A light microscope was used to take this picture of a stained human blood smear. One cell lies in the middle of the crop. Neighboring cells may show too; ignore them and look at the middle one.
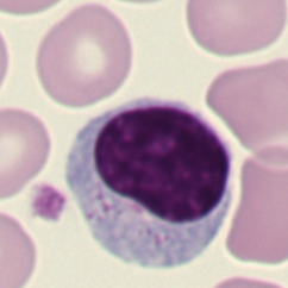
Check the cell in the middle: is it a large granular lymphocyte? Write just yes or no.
yes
